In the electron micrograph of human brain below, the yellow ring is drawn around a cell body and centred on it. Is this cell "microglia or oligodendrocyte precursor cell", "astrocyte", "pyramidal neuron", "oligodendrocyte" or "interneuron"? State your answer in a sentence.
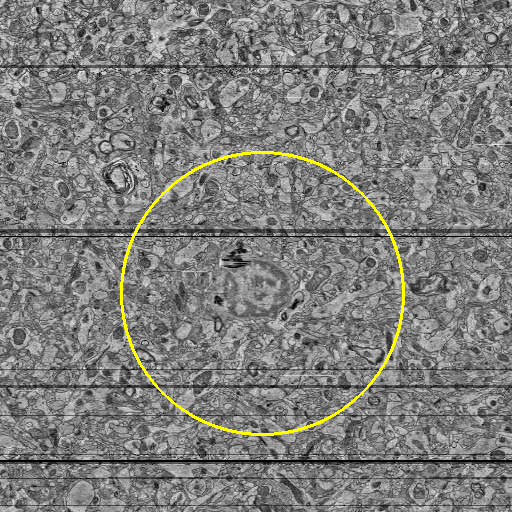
The cell in the middle of the ring is an oligodendrocyte.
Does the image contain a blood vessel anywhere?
No, no blood vessel shows in the picture.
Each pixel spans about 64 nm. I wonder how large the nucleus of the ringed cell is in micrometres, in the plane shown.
About 5 micrometres by about 4 micrometres in this plane.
